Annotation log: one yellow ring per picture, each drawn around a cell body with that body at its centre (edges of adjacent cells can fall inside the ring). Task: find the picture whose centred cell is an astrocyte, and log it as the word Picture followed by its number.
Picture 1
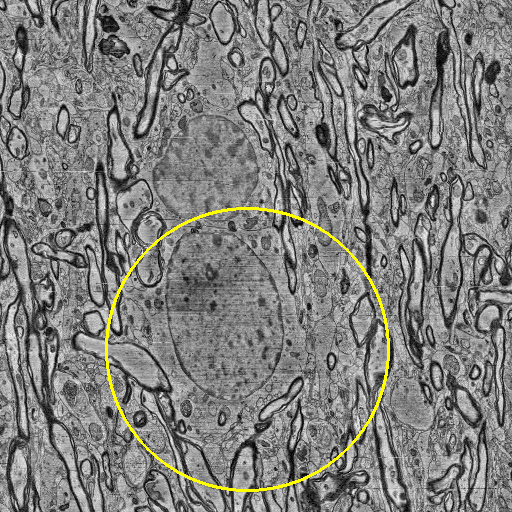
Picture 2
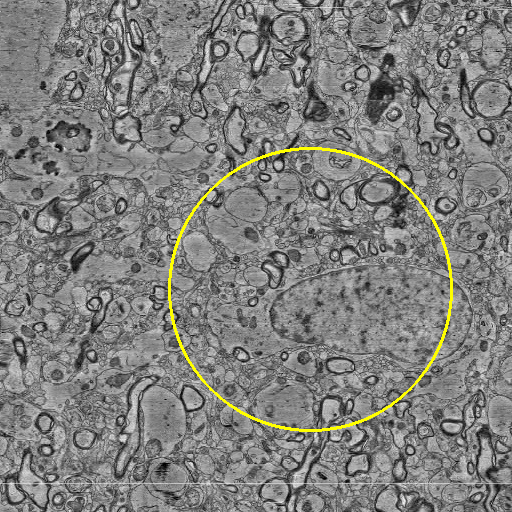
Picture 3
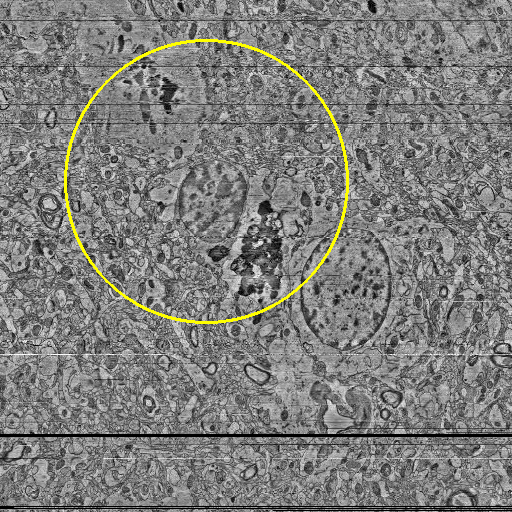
Picture 1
